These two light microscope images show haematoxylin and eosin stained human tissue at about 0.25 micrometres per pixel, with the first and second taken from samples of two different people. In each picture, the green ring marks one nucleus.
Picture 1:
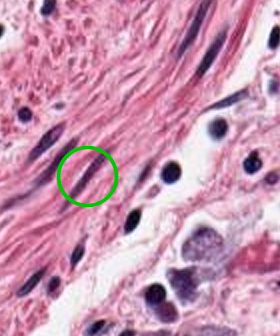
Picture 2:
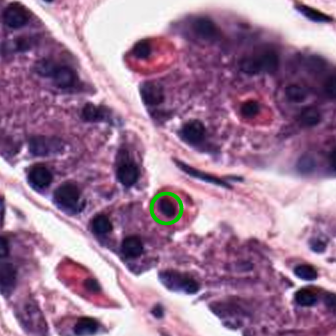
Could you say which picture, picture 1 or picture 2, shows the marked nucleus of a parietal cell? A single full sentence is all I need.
The marked nucleus of picture 2 is part of a parietal cell.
